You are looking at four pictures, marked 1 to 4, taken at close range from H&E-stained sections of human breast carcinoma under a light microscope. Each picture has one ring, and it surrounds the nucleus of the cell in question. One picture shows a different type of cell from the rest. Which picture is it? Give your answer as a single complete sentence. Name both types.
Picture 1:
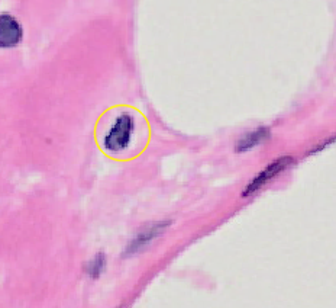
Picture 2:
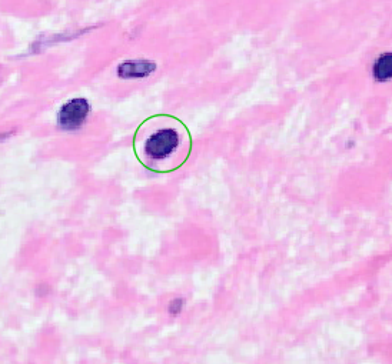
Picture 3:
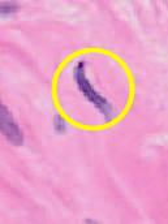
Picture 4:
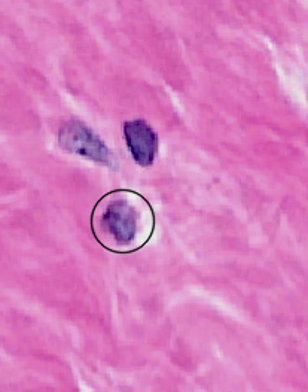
Picture 3 is the odd one out: it shows a fibroblast, while the others show lymphocytes.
